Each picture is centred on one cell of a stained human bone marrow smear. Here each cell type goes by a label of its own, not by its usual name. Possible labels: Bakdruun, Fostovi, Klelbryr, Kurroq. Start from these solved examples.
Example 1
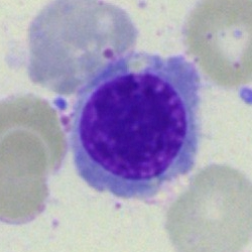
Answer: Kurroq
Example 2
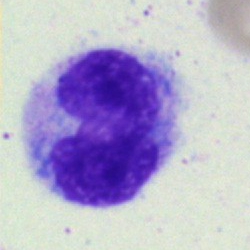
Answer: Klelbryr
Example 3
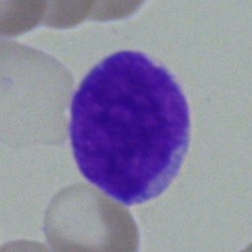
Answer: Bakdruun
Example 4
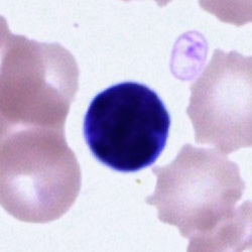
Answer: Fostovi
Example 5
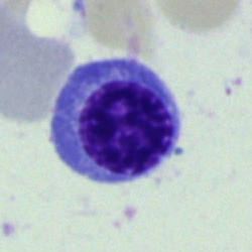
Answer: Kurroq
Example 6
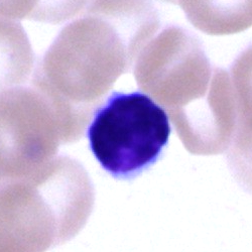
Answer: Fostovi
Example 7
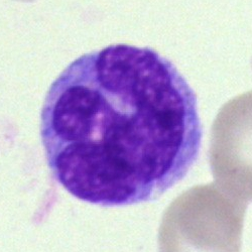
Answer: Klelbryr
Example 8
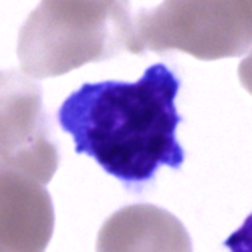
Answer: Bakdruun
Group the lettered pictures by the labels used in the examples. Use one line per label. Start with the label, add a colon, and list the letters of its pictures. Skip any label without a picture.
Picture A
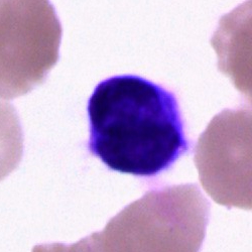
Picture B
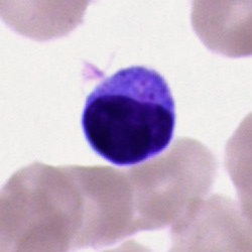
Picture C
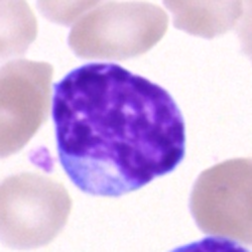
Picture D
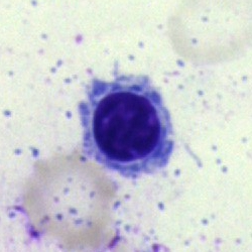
Bakdruun: C
Fostovi: A, B
Kurroq: D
